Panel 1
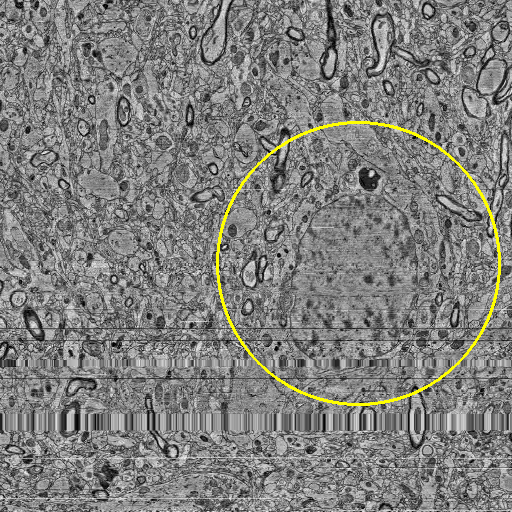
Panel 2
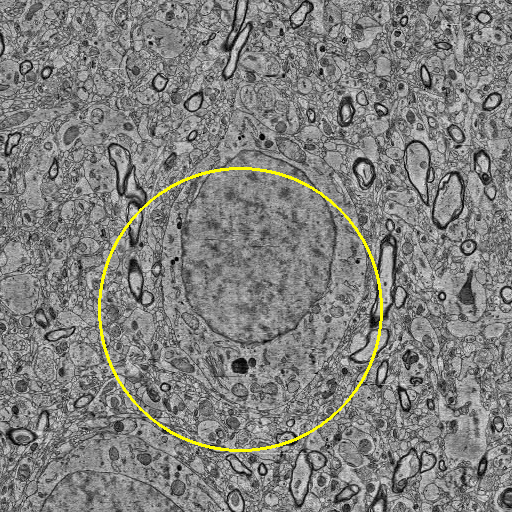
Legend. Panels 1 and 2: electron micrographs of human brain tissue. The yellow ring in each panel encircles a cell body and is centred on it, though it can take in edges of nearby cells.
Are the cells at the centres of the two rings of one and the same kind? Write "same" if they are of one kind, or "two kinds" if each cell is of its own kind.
two kinds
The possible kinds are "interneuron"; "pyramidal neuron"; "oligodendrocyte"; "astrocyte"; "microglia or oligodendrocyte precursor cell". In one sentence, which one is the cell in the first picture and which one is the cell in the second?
The cell ringed in the second picture is a pyramidal neuron, whereas the one ringed in the first is an interneuron.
